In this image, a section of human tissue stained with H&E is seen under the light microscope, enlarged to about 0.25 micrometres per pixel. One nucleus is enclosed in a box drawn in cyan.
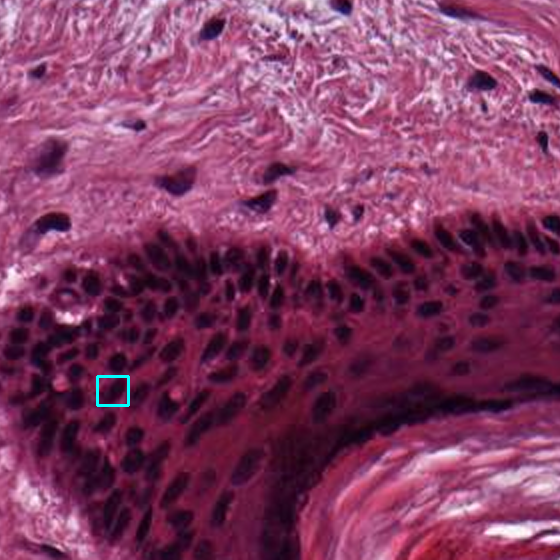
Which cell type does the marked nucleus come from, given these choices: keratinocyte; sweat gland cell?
keratinocyte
